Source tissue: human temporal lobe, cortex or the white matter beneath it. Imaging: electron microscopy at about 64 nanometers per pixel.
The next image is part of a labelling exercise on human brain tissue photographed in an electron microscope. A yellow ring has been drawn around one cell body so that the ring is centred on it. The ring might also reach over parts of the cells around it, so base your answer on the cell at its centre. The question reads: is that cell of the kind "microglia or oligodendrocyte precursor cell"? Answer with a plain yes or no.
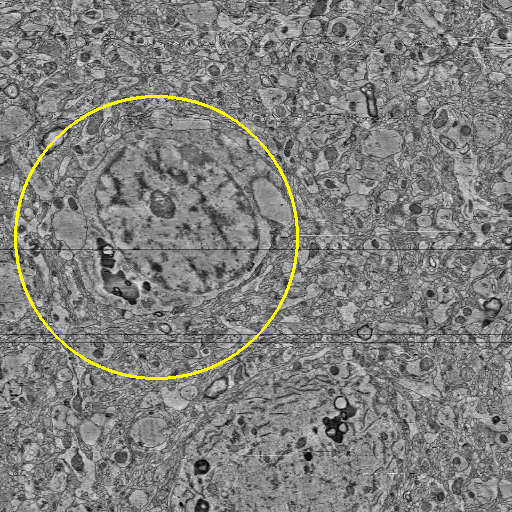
no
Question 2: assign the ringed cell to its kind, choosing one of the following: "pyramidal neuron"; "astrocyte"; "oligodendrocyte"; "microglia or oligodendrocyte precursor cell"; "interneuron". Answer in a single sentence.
The cell shown in the ring is an interneuron.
